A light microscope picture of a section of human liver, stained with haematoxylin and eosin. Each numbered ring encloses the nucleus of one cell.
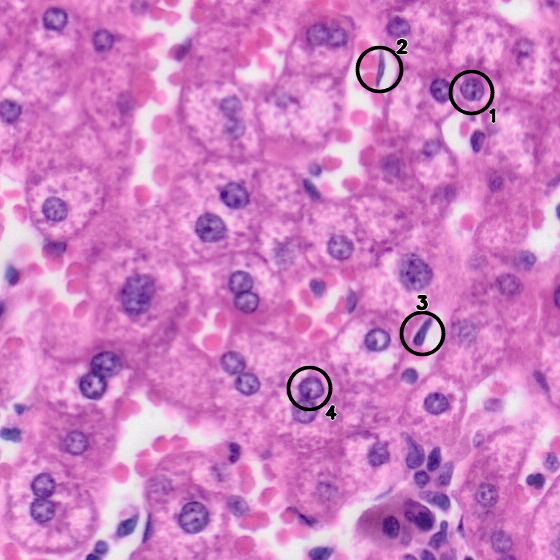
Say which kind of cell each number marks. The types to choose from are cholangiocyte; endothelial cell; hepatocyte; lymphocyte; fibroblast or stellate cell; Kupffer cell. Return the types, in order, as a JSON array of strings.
["hepatocyte", "endothelial cell", "lymphocyte", "hepatocyte"]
